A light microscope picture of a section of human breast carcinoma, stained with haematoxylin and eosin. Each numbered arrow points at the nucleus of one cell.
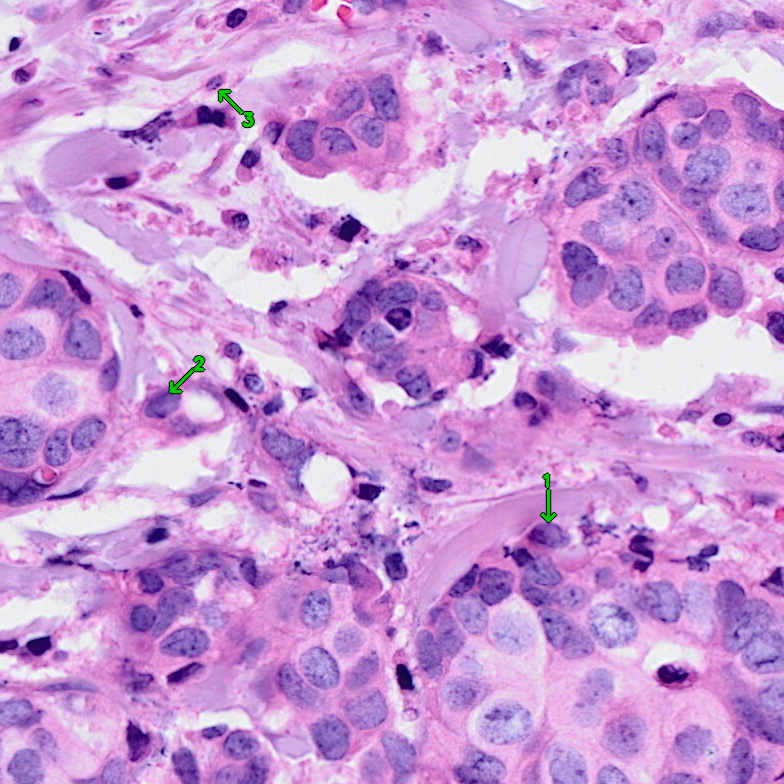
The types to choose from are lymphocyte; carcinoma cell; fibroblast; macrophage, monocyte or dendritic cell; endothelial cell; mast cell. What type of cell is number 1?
carcinoma cell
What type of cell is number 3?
mast cell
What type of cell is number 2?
carcinoma cell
